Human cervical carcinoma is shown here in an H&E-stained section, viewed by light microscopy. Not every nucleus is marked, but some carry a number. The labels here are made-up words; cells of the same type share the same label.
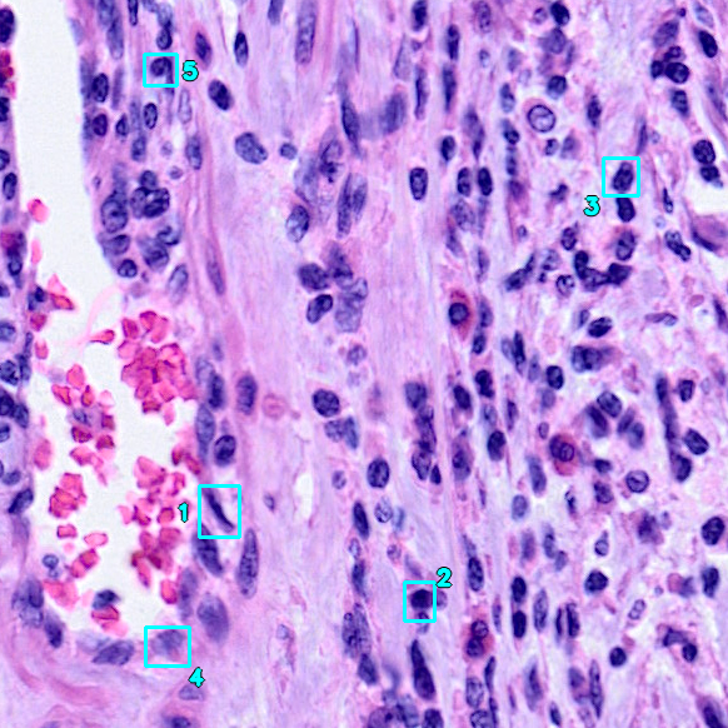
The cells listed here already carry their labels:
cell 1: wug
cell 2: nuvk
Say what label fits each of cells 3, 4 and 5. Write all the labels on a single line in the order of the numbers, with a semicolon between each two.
nuvk; wug; nuvk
